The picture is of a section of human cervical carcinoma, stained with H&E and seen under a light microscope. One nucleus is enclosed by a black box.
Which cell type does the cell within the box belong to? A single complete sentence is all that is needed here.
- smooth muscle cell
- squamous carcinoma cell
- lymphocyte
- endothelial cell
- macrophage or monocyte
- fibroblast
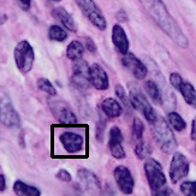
The expected answer is simply that the cell within the box is a lymphocyte.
